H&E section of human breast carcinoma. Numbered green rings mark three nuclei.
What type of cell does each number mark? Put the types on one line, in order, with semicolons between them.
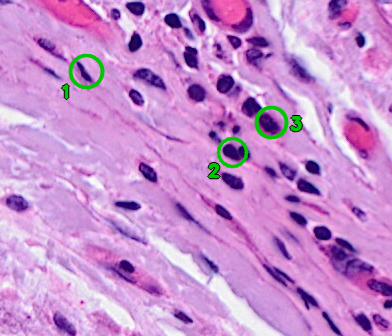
fibroblast; lymphocyte; mast cell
